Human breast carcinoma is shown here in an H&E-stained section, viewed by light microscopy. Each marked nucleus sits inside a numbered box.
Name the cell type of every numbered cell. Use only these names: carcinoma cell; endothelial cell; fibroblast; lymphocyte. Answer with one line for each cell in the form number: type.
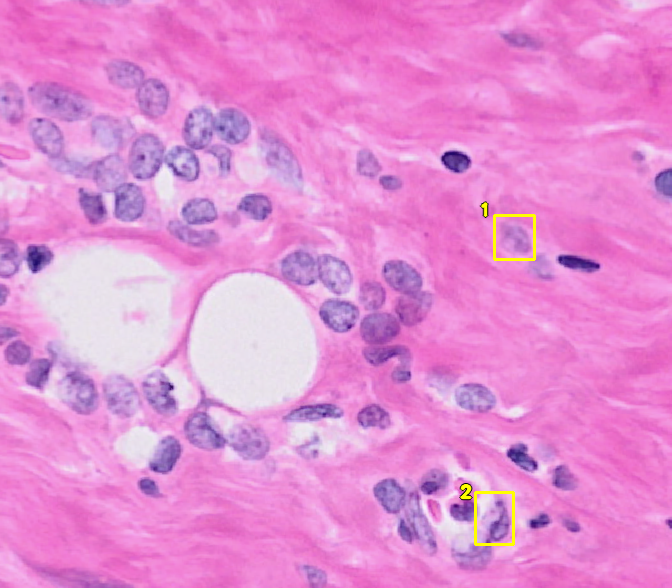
1: fibroblast
2: endothelial cell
